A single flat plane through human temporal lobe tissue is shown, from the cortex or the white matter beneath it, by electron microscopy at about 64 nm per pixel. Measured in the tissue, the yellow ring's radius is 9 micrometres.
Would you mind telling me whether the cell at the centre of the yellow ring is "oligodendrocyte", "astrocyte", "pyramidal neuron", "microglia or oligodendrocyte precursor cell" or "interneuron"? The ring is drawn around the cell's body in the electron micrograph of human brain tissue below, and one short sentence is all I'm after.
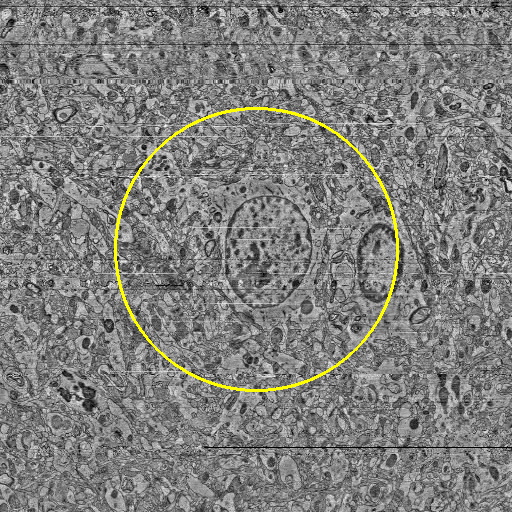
In the centre of the ring lies an astrocyte.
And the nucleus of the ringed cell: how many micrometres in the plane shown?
Roughly 8 micrometres by 6 micrometres, in this plane.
